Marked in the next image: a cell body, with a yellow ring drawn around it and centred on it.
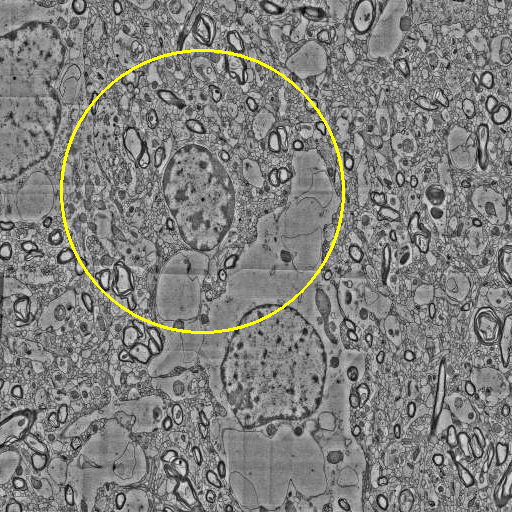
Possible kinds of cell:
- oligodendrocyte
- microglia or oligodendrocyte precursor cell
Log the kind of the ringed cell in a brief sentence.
The ringed cell body is that of a microglial cell or oligodendrocyte precursor cell.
